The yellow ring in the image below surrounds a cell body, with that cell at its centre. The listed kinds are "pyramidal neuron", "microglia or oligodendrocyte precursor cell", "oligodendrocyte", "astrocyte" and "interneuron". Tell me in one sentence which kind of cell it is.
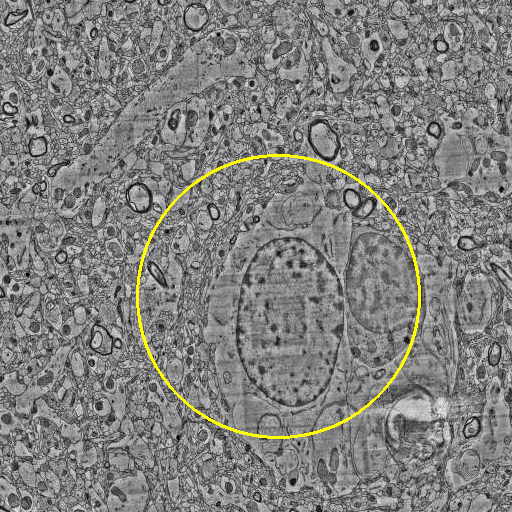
The centre of the ring holds an astrocyte.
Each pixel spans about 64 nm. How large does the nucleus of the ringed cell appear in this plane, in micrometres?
In this plane the nucleus is roughly 11 by 7 micrometres, clearly longer than it is wide.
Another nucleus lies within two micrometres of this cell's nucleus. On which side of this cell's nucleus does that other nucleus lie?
The other one is to the upper right of it.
